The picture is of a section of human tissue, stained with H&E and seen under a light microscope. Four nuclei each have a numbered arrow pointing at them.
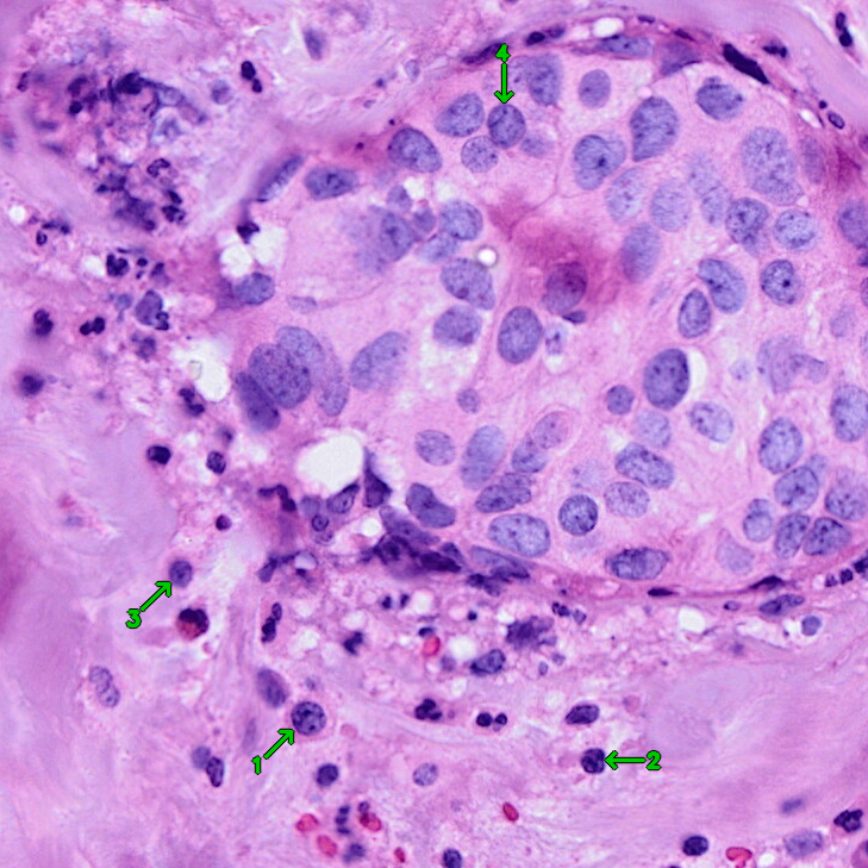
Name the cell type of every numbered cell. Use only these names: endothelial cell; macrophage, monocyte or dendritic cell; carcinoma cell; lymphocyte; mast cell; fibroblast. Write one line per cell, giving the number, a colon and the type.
1: mast cell
2: lymphocyte
3: mast cell
4: carcinoma cell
